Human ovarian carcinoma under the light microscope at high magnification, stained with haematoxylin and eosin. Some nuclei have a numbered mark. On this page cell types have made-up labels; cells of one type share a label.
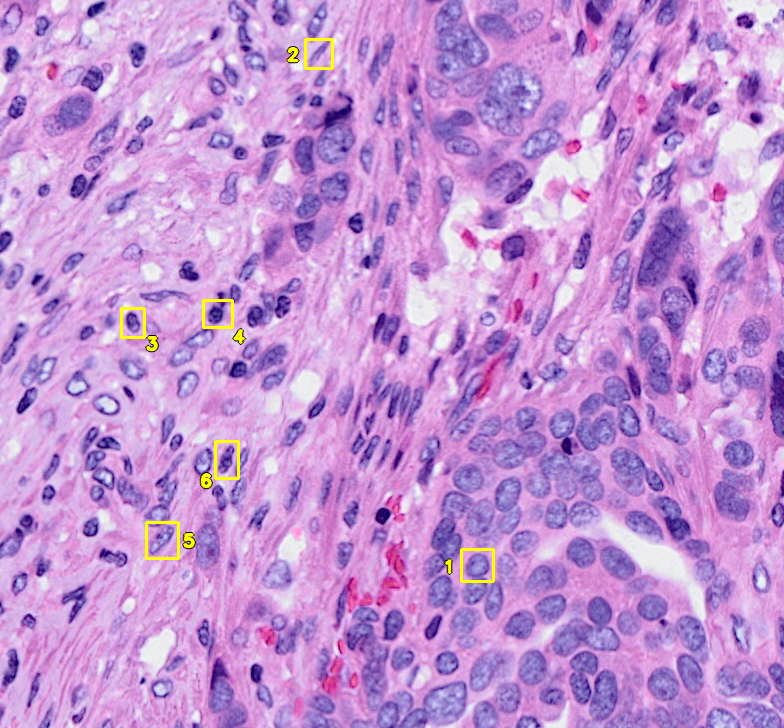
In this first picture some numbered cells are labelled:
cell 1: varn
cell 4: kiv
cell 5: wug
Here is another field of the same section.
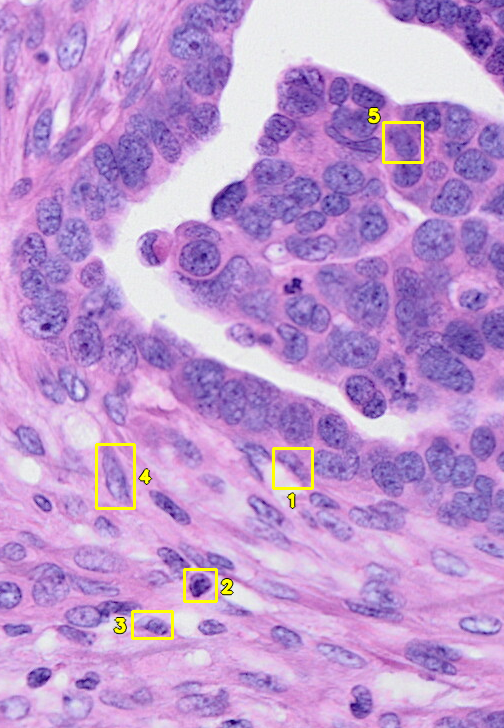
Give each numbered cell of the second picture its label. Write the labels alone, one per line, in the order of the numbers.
wug
kiv
wug
wug
varn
